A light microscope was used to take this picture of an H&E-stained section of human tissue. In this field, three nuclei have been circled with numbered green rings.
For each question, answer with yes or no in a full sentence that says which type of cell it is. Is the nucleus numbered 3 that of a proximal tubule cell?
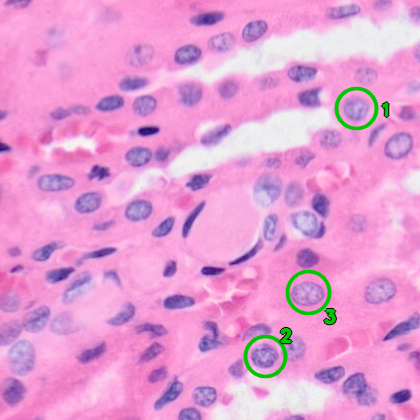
Yes, the cell distinguished by number 3 is a proximal tubule cell.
